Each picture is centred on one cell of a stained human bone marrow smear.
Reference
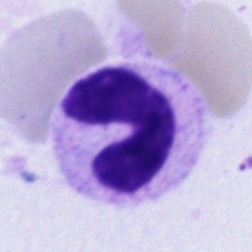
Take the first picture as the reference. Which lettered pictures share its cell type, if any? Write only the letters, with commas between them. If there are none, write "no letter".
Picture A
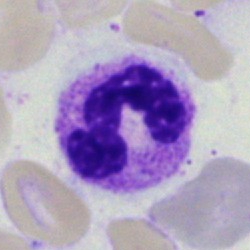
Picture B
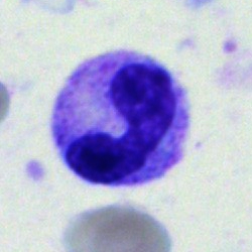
B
